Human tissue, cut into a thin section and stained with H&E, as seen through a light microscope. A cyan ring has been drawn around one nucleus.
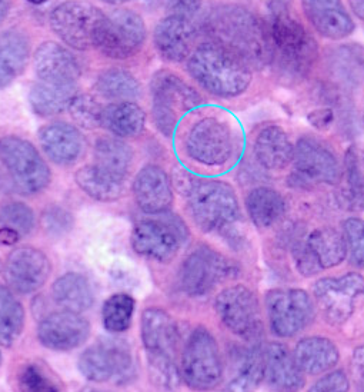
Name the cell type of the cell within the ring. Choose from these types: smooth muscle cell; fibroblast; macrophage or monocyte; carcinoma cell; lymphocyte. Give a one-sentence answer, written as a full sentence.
As far as its identity is concerned, the cell within the ring is a carcinoma cell.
